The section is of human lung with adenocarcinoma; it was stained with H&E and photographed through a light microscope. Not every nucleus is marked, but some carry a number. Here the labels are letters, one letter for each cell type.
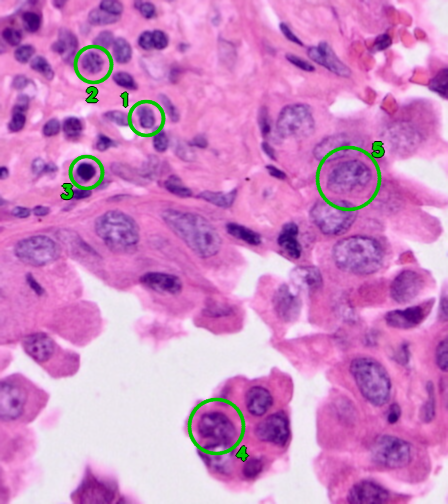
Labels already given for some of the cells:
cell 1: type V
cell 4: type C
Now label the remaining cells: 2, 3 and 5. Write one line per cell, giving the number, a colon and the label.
2: type V
3: type V
5: type C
